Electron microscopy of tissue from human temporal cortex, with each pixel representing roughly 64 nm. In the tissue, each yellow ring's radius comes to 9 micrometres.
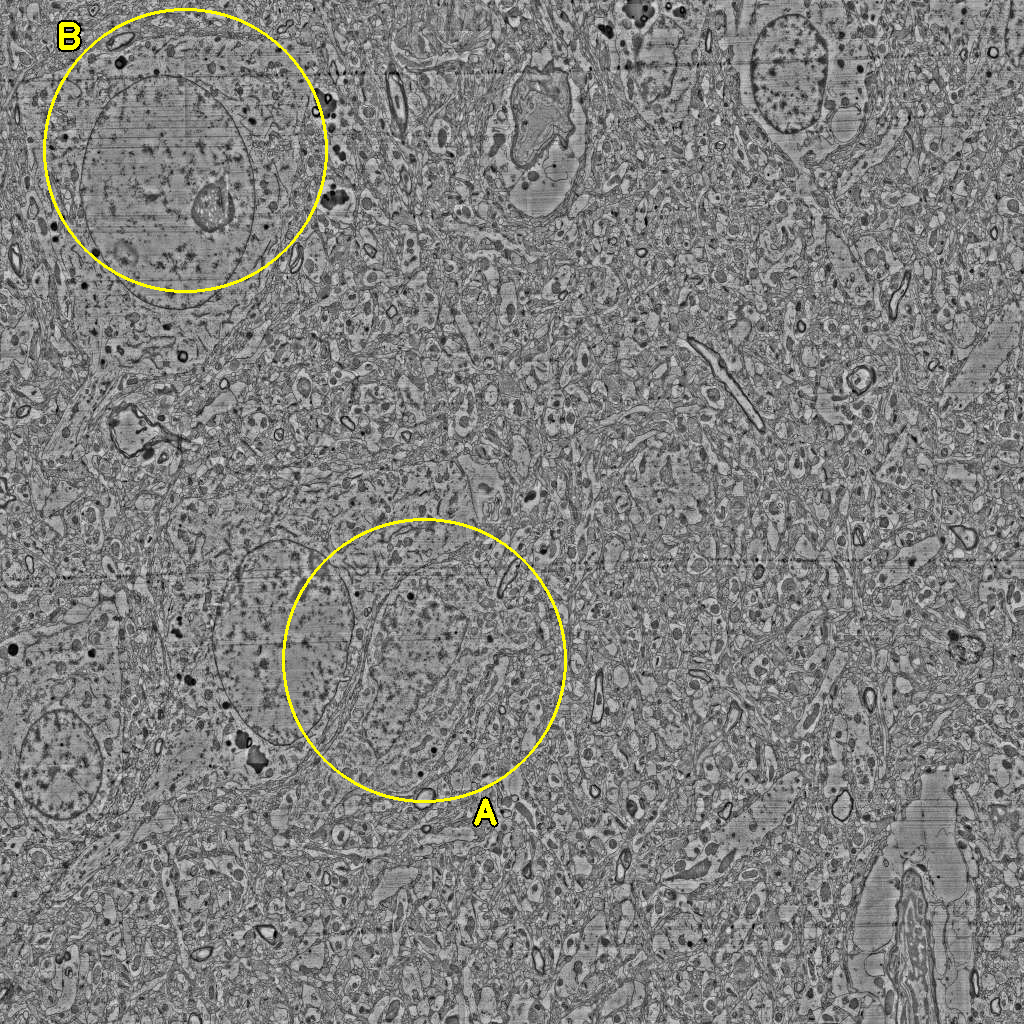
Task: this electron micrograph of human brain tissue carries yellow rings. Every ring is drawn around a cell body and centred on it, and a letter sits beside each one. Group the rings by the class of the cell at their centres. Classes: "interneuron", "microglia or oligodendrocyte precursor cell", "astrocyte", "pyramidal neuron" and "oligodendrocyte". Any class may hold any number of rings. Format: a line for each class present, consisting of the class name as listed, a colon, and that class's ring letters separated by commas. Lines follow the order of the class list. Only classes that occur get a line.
interneuron: A
pyramidal neuron: B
